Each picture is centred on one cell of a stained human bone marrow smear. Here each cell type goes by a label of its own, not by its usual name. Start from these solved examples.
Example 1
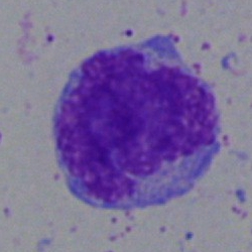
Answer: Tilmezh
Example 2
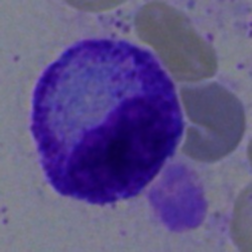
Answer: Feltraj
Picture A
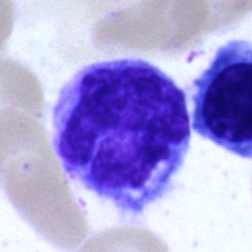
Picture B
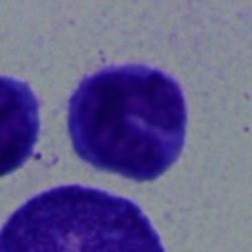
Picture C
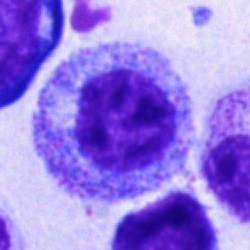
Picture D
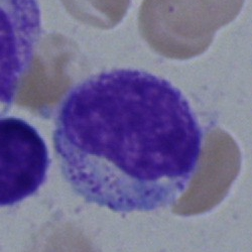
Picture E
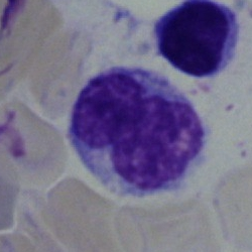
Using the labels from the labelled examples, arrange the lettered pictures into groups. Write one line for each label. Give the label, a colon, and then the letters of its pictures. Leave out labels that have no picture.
Tilmezh: A, B, E
Feltraj: C, D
